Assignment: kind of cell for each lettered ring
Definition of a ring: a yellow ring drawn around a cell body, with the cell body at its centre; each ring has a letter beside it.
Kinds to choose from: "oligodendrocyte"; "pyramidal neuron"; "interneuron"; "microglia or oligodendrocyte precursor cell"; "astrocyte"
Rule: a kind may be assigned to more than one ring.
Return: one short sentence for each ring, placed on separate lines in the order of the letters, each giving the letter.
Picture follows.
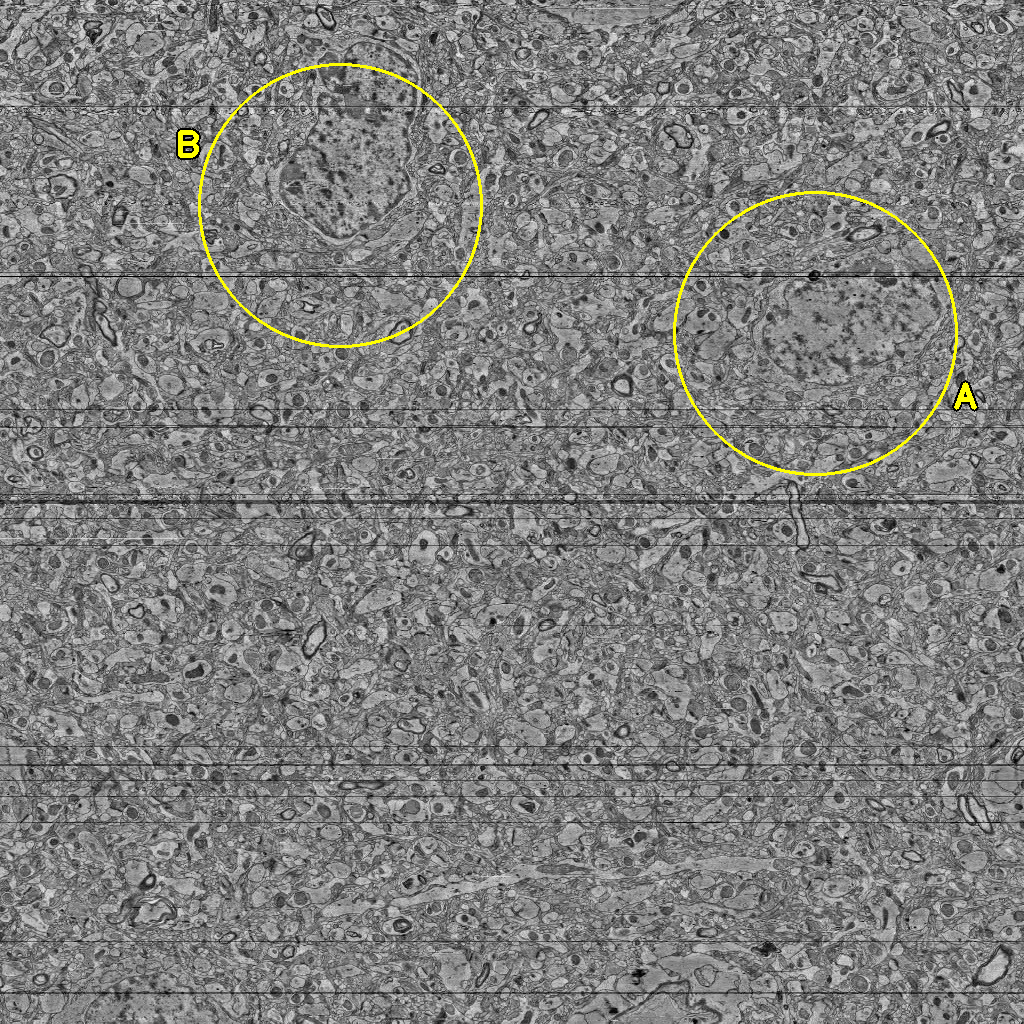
The ring marked A is centred on an interneuron.
The ring marked B is centred on a microglial cell or oligodendrocyte precursor cell.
